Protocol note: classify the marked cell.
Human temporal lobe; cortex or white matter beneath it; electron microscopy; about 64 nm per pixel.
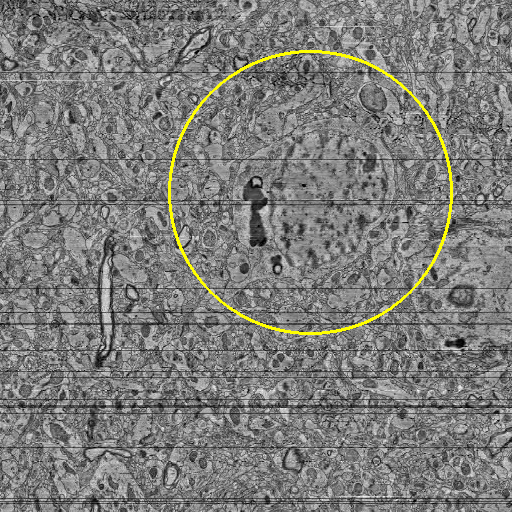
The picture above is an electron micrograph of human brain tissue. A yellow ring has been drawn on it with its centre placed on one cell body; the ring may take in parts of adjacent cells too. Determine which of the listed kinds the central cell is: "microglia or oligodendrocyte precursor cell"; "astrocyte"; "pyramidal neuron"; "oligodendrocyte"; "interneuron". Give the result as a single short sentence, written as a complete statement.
The central cell is an interneuron.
